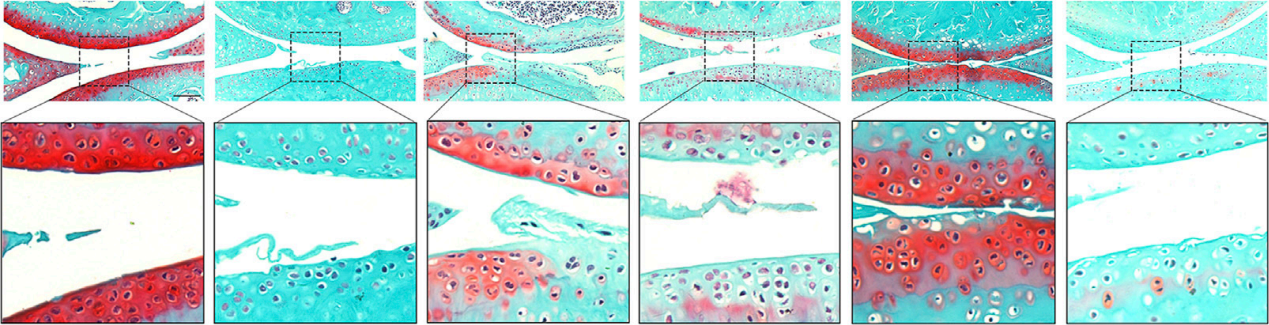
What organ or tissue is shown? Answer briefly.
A: Articular cartilage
